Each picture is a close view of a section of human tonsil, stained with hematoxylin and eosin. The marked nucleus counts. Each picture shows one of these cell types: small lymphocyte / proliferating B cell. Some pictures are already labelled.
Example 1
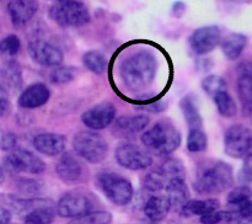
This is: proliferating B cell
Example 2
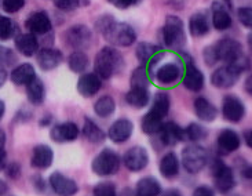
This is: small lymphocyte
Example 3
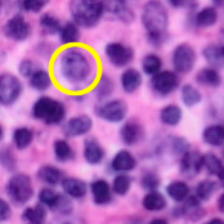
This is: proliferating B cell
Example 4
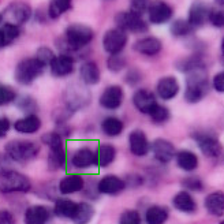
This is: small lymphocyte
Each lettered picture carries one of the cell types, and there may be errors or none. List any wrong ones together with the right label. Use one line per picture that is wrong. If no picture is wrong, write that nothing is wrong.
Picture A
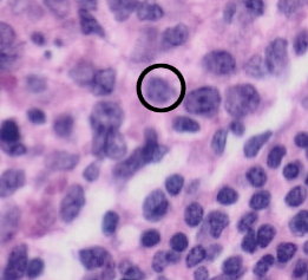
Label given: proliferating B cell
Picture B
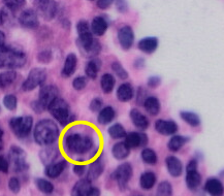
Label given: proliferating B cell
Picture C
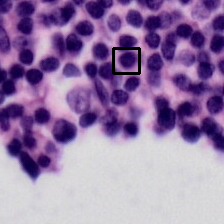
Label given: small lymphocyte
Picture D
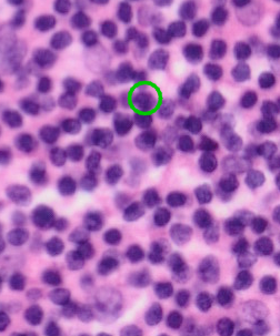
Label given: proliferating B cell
D: not proliferating B cell but small lymphocyte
